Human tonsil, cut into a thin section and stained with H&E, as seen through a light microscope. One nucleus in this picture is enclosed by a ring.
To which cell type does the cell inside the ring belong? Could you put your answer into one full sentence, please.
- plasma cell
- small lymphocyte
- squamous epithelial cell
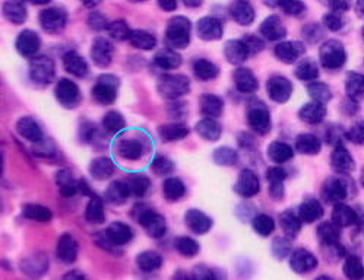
The cell type of the cell inside the ring is that of a small lymphocyte.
